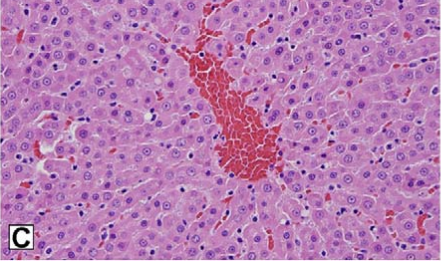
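This is liver, with polygonal hepatocytes arranged in cords that radiate from a central vessel filled with red blood cells. Each hepatocyte has pink cytoplasm and a round central nucleus. Narrow sinusoids containing a few red blood cells run between the cords. The cells are uniform, with no vacuoles or bleeding into the tissue.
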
